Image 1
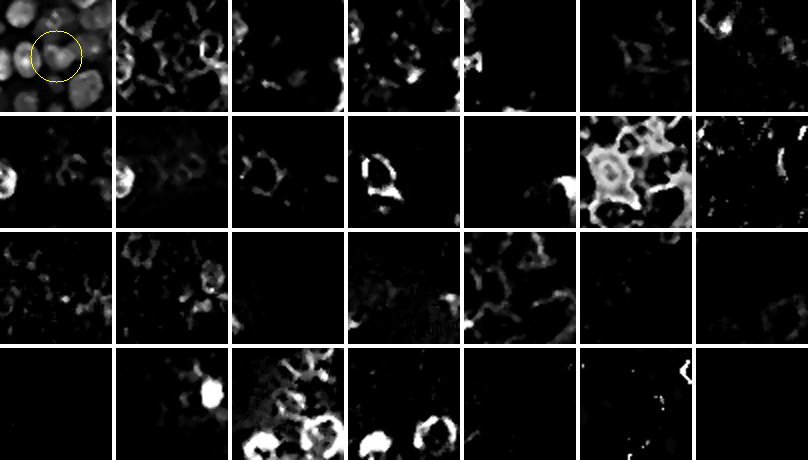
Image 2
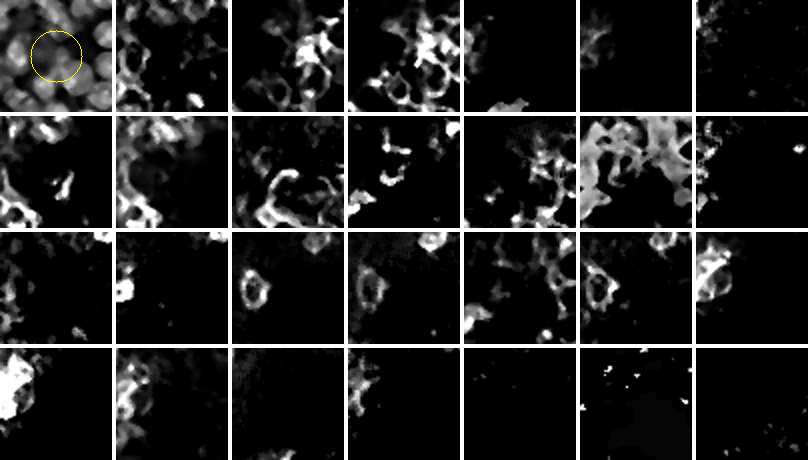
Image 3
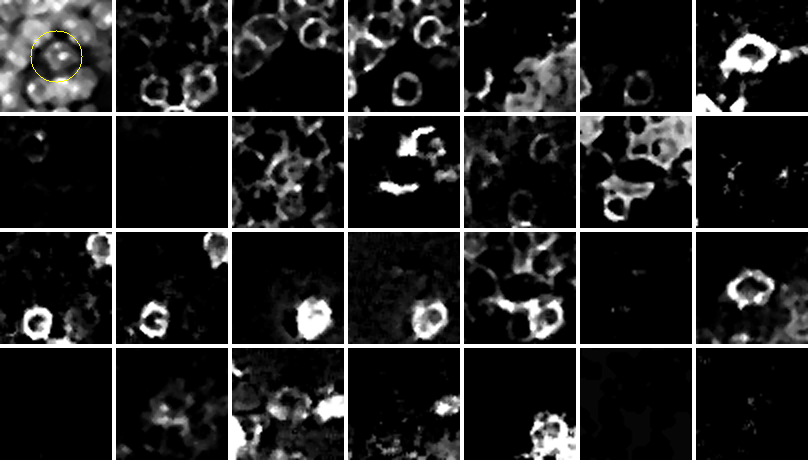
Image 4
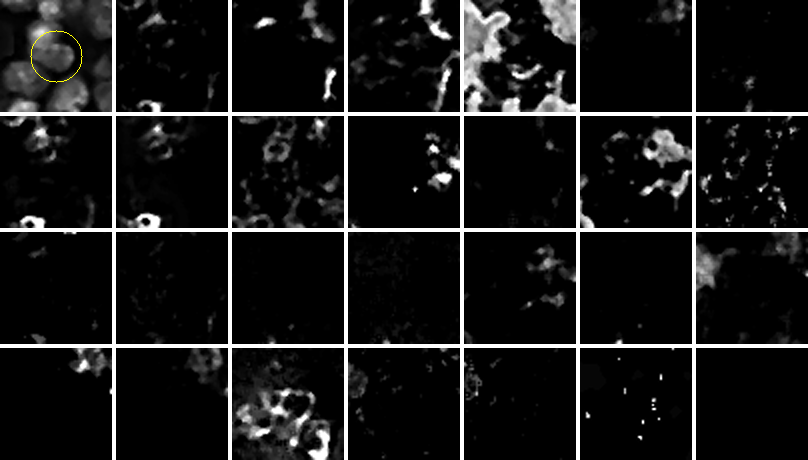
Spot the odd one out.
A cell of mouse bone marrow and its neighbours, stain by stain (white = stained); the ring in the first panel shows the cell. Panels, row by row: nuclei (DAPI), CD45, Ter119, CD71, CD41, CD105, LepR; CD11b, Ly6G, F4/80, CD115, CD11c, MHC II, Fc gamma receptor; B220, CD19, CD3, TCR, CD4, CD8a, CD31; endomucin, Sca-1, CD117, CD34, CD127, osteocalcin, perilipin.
Picture 2 (an erythroblast among megakaryocyte-erythroid progenitors).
